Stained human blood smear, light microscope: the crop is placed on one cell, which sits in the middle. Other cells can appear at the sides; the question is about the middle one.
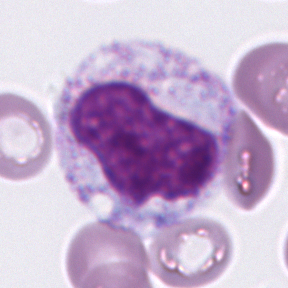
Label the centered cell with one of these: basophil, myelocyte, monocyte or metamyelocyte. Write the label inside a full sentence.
The cell featured at the centre of this crop is a metamyelocyte.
